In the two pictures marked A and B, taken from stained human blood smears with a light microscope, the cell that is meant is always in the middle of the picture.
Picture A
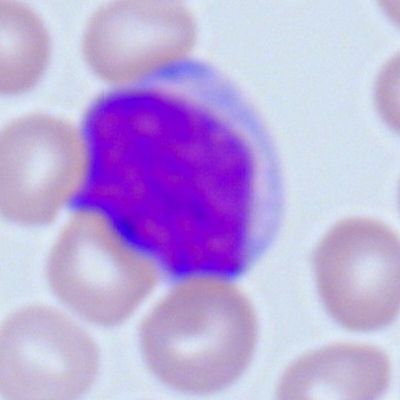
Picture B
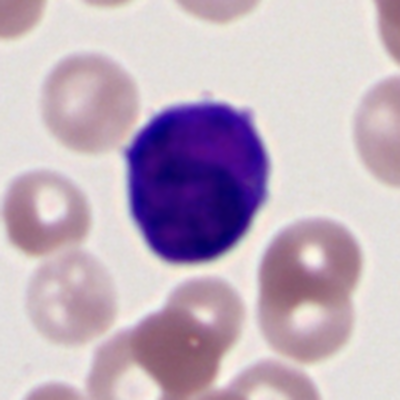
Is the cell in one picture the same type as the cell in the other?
yes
